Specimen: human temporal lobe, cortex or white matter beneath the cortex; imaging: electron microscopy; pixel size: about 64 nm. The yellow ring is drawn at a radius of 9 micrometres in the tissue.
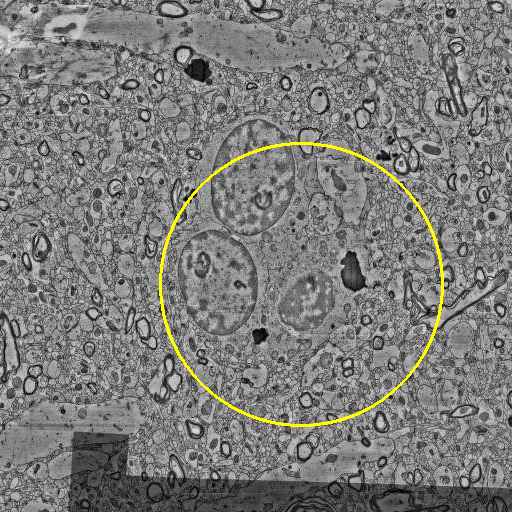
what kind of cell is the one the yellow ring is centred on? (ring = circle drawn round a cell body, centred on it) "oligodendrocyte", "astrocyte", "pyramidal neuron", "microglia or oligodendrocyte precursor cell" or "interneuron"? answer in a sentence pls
The ring is drawn around an oligodendrocyte.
